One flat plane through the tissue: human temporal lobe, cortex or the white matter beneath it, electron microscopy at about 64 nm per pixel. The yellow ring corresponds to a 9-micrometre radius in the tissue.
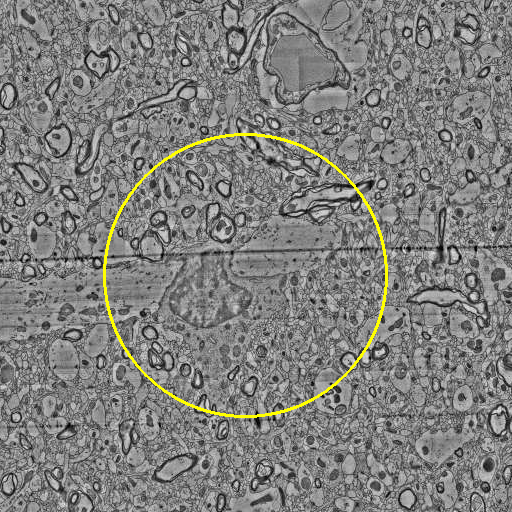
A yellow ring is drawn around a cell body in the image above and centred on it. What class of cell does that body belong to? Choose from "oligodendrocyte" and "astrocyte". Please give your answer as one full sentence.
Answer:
The yellow ring above is centred on the cell body of an oligodendrocyte.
